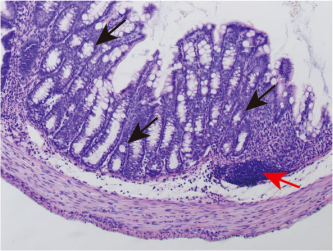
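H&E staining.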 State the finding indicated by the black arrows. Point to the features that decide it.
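The glands pointed at are irregular and distorted rather than evenly spaced straight tubes. So: crypt abnormality and rupture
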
